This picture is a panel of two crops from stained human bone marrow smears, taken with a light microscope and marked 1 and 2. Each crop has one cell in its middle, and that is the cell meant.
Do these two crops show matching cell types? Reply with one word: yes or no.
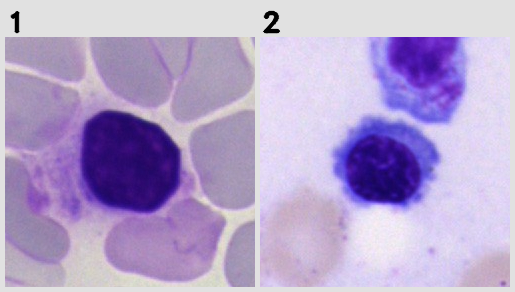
no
